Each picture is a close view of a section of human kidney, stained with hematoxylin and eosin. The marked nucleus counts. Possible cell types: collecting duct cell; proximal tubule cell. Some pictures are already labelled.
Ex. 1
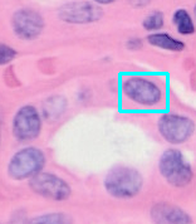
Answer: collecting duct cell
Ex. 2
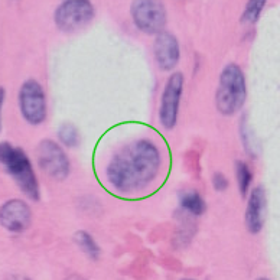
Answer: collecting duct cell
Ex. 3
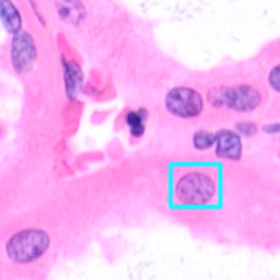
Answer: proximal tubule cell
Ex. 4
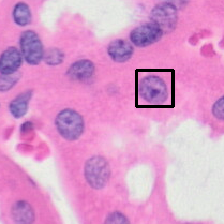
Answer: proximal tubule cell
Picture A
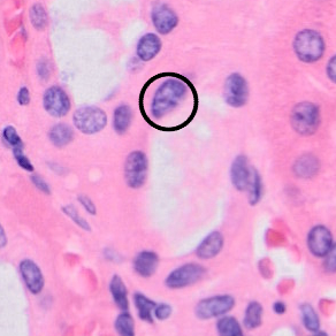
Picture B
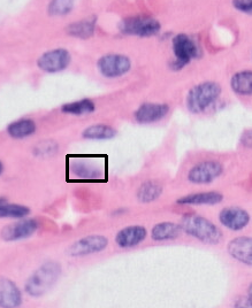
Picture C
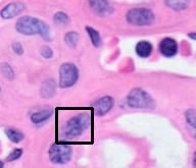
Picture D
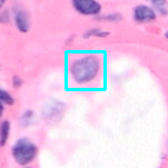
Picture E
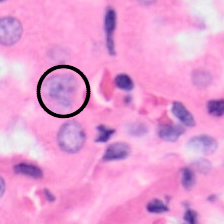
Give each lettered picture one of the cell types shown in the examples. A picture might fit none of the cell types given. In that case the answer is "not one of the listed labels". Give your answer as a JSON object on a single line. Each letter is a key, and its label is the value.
{"A": "collecting duct cell", "B": "not one of the listed labels", "C": "collecting duct cell", "D": "not one of the listed labels", "E": "proximal tubule cell"}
